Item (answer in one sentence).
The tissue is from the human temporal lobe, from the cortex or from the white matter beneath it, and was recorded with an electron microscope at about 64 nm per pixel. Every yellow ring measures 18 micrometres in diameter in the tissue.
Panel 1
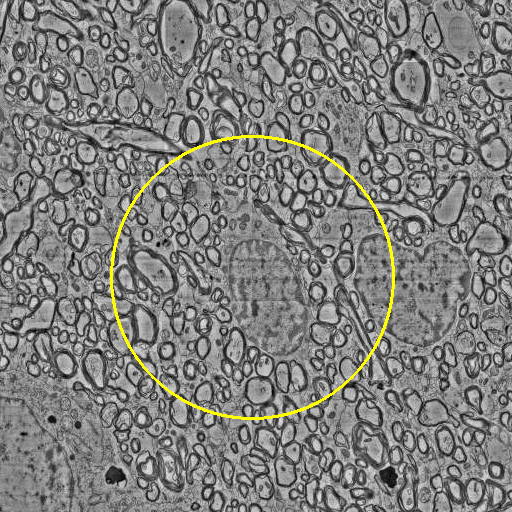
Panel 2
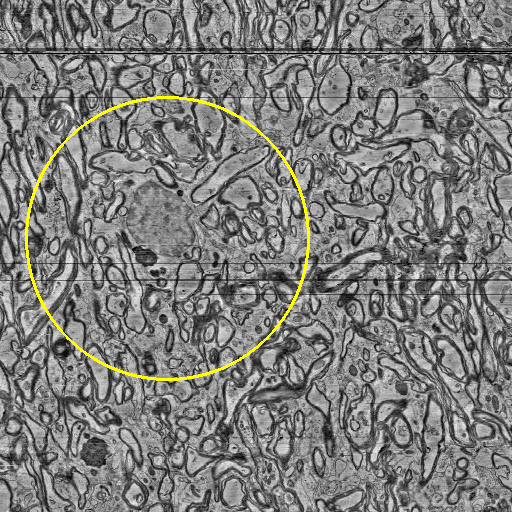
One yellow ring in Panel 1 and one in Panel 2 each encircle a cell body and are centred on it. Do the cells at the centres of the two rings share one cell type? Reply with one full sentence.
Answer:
Yes, Panel 1 and Panel 2 show cells of one type at the centres of their rings.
